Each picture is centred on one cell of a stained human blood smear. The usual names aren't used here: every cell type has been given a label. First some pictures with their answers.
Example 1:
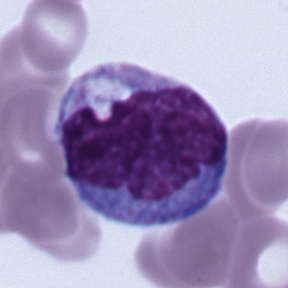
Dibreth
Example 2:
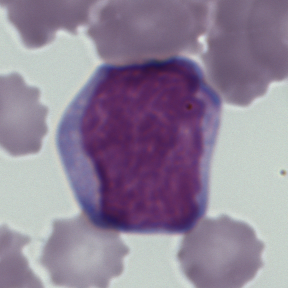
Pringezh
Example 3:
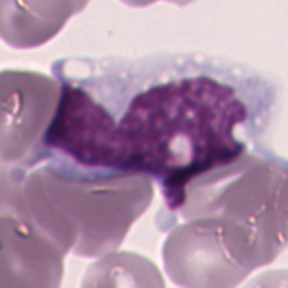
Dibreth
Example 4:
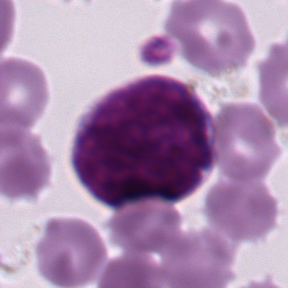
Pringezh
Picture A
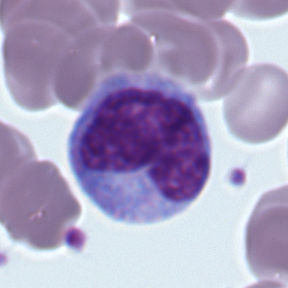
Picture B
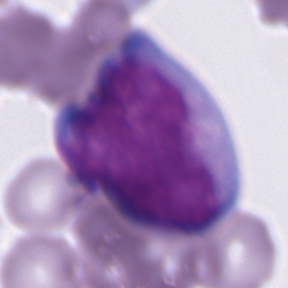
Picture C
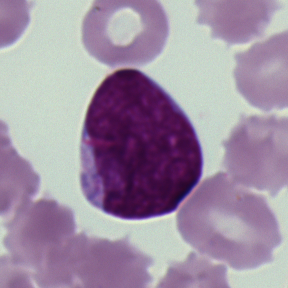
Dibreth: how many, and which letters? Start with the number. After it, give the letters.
Count: 1 (A)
